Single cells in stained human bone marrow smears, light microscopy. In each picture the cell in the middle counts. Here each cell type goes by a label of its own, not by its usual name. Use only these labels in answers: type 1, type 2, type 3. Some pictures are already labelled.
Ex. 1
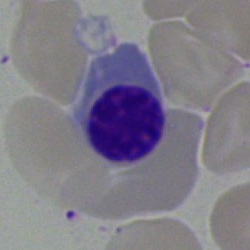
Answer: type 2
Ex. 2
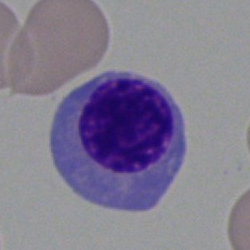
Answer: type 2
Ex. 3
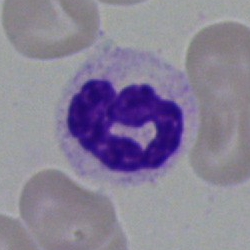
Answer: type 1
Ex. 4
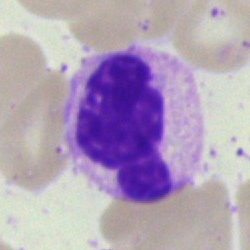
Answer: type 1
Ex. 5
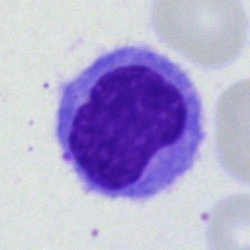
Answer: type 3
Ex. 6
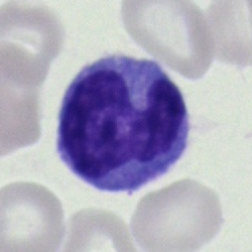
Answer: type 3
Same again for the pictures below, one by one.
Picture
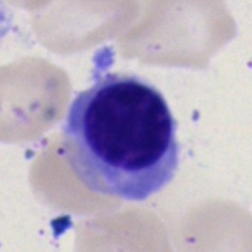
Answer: type 2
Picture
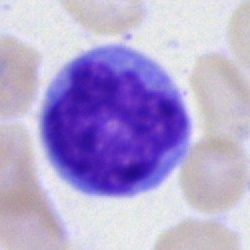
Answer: type 3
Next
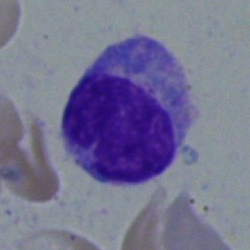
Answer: type 3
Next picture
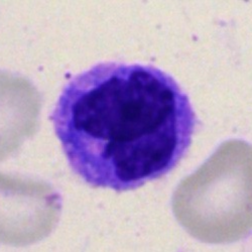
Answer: type 3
